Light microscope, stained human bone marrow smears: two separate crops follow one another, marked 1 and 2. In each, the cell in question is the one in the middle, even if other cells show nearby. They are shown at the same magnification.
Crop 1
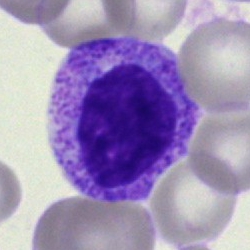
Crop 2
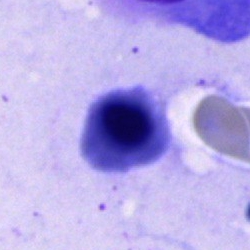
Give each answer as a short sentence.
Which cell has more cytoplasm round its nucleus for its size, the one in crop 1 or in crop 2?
Of the two, the nucleus in crop 2 leaves more room for cytoplasm.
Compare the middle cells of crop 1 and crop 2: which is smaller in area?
The cell in crop 2 is smaller; the one in crop 1 has about 3 times its area.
